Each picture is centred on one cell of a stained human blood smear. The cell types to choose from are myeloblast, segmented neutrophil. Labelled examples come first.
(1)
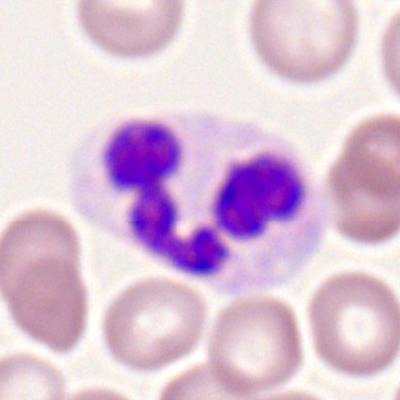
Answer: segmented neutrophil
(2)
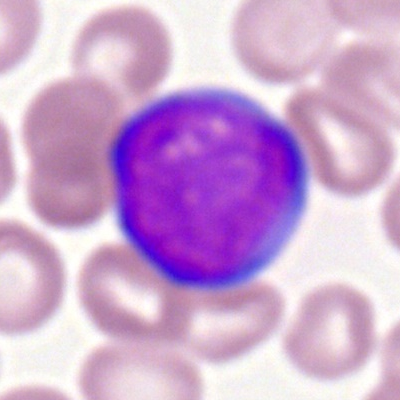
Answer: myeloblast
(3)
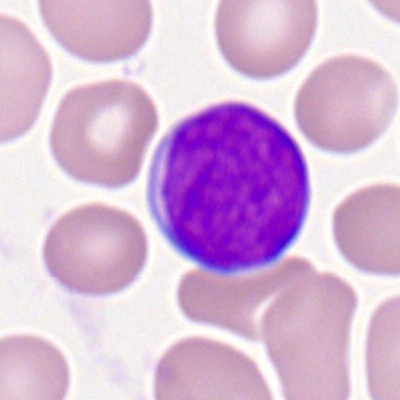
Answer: myeloblast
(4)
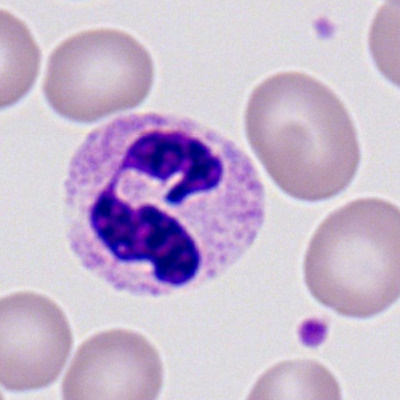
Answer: segmented neutrophil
